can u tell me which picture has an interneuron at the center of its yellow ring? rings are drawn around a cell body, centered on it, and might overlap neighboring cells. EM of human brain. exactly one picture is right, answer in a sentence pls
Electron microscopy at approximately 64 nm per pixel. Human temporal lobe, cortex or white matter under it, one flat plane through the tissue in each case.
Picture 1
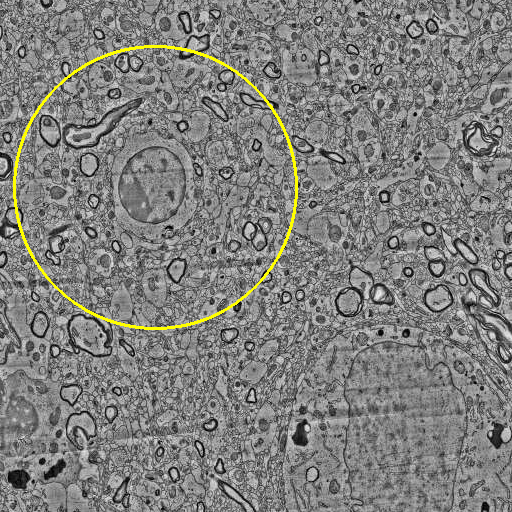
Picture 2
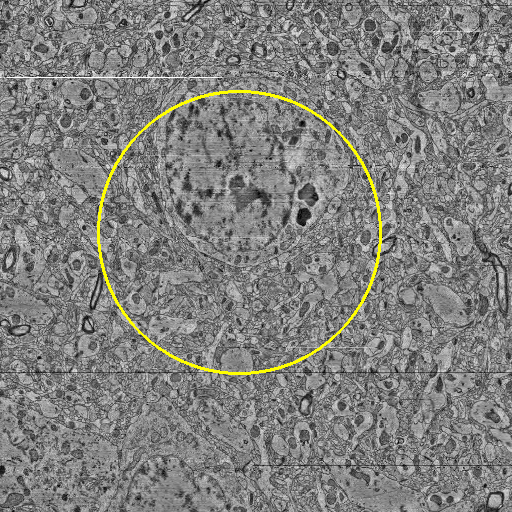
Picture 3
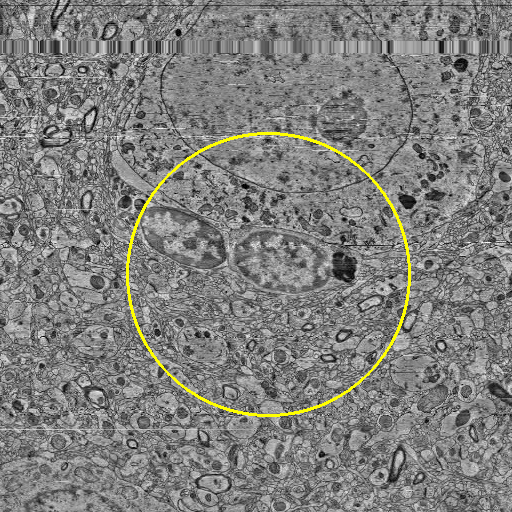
Picture 2 is the one.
